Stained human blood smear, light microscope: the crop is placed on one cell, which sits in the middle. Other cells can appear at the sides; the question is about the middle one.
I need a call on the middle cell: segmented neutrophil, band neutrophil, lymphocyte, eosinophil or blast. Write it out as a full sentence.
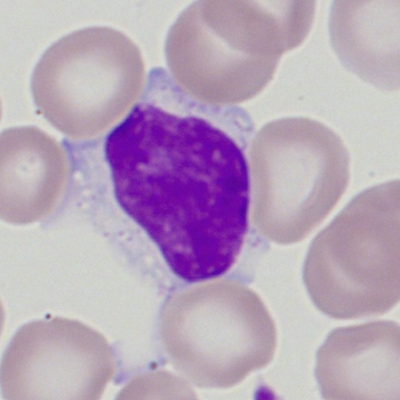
At the center of the crop sits a lymphocyte.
